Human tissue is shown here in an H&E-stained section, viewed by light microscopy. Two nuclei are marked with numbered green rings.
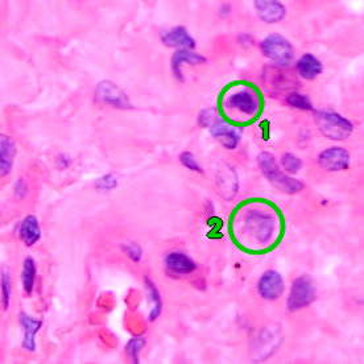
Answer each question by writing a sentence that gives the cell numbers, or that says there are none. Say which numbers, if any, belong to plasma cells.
The nucleus numbered 1 is the only one that belongs to a plasma cell.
